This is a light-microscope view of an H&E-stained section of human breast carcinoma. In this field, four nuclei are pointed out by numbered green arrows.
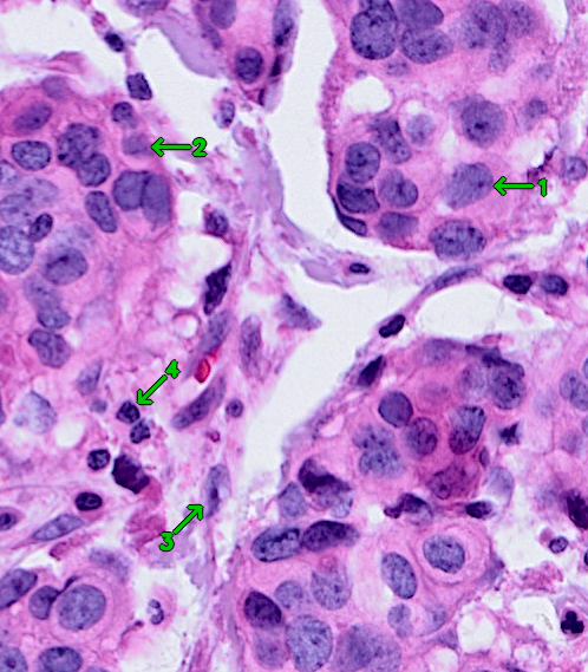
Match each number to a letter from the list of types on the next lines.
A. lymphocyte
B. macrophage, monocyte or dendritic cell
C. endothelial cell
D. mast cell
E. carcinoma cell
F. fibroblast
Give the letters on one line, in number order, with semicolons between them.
E; E; F; A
